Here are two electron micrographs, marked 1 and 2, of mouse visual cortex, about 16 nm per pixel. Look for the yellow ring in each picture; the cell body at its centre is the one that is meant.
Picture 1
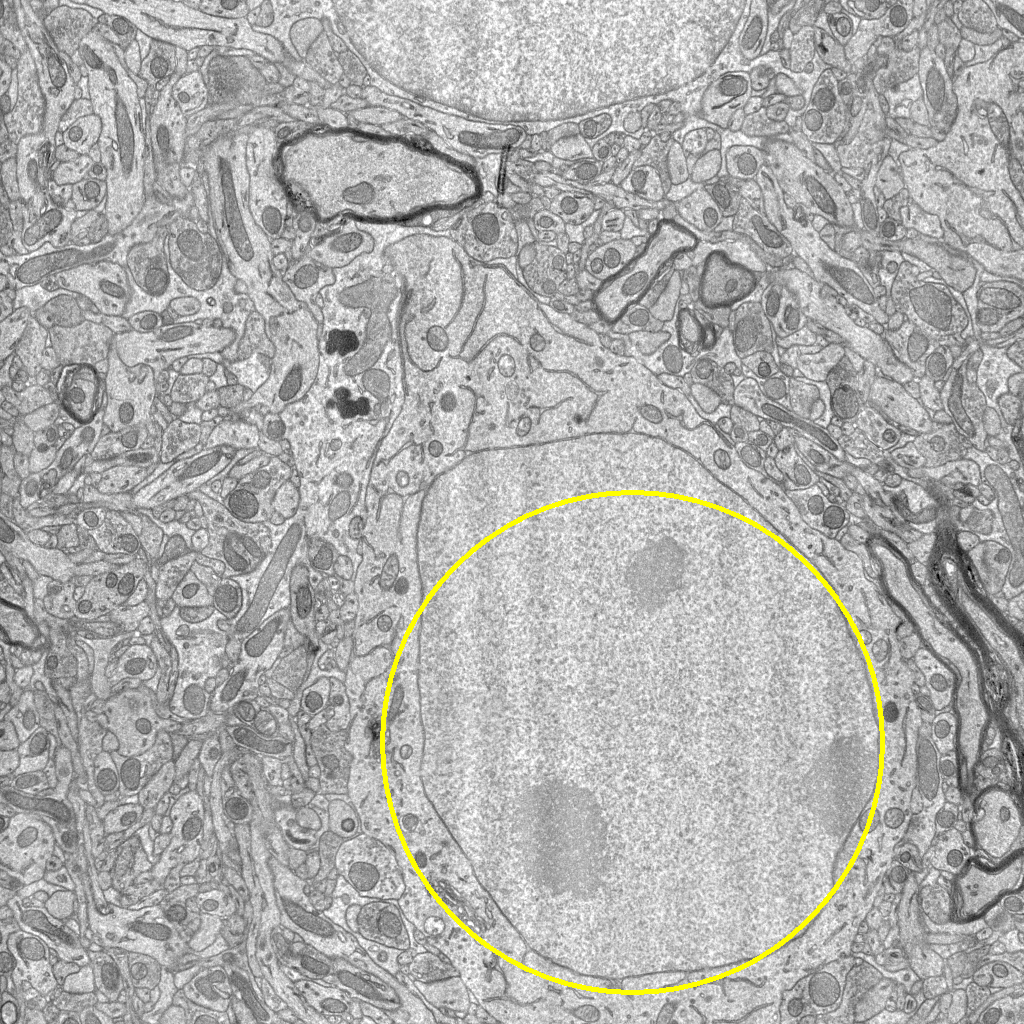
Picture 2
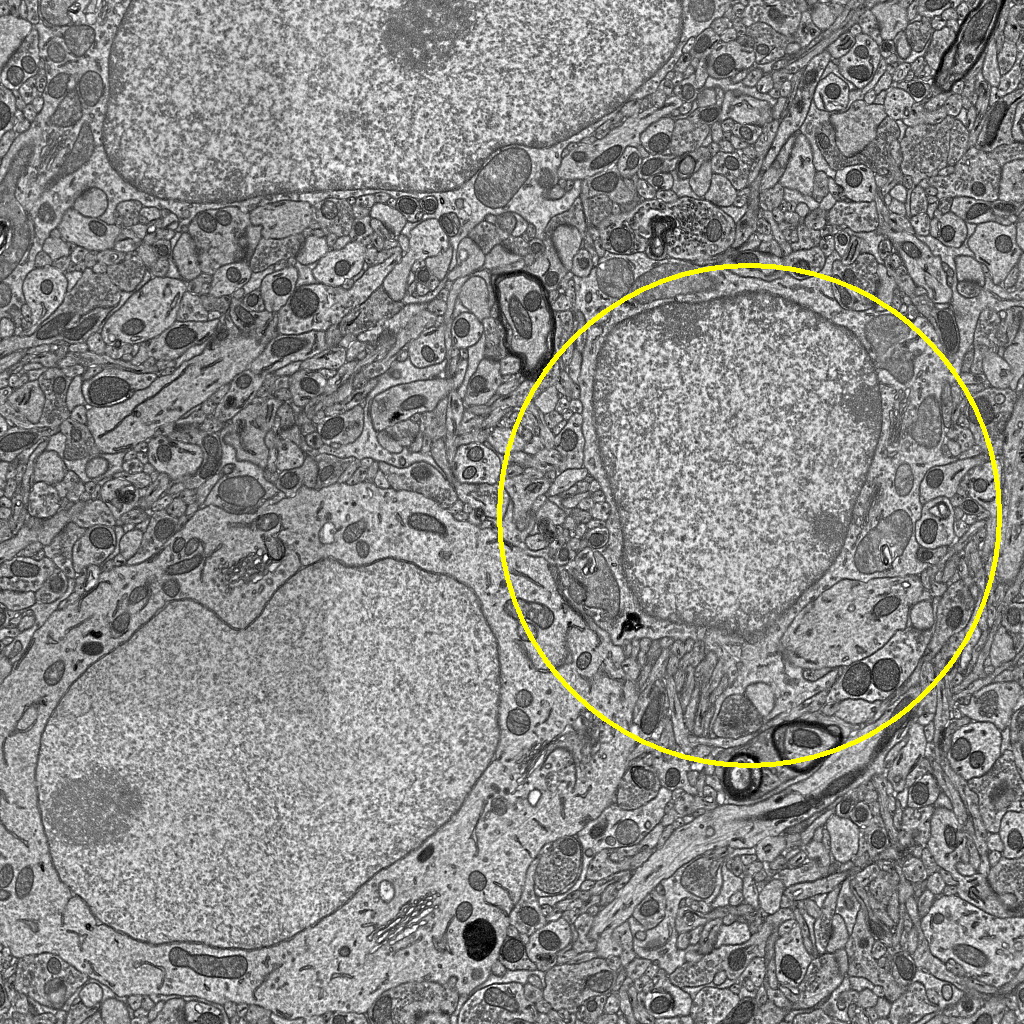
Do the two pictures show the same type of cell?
No. Picture 1 shows an excitatory neuron, but picture 2 shows an astrocyte.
